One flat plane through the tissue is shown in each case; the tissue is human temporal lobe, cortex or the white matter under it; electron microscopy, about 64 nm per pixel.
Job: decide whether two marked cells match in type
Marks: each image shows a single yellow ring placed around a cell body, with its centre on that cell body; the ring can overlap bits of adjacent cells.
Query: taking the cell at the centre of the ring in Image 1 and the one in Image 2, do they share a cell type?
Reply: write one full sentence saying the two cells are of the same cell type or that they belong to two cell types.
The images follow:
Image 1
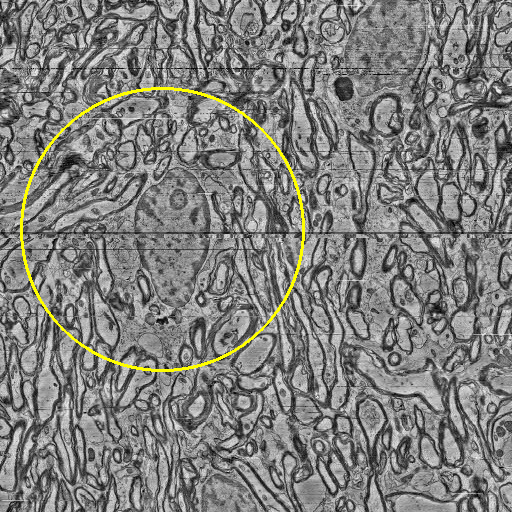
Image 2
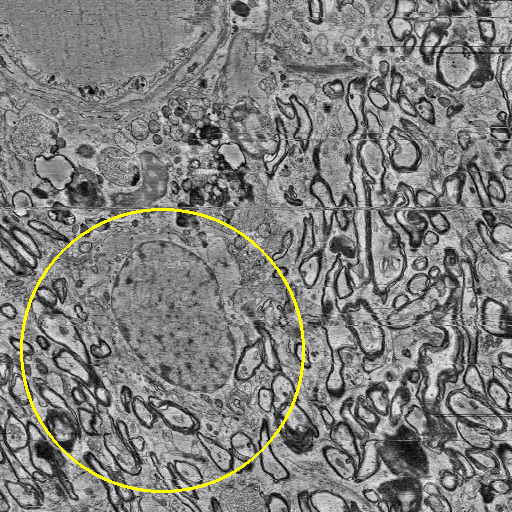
The cells at the ring centres in Image 1 and Image 2 belong to two cell types.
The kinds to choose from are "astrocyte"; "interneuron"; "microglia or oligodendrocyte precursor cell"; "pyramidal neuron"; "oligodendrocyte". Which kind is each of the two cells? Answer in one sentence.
Of the two, the first cell is a microglial cell or oligodendrocyte precursor cell and the second cell is an astrocyte.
